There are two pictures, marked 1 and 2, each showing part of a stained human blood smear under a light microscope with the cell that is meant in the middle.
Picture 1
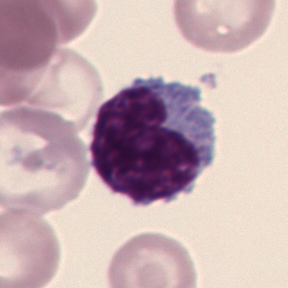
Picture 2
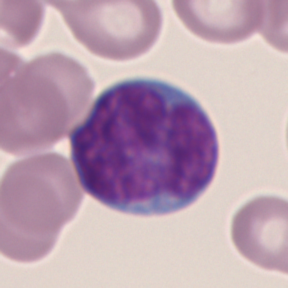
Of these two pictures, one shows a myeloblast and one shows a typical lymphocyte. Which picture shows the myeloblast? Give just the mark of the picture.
2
